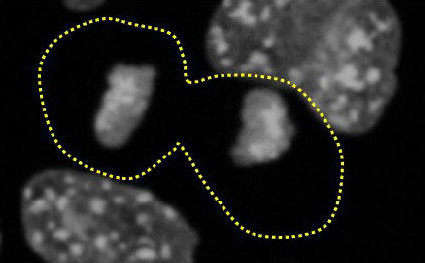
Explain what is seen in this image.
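A dividing cell in telophase is outlined in a dumbbell shape with a narrow waist between its two halves. Each half contains a small, compact, brightly stained chromatin mass, the two lying apart from each other. Around it lie interphase nuclei that are larger and oval with bright spots of dense chromatin.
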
